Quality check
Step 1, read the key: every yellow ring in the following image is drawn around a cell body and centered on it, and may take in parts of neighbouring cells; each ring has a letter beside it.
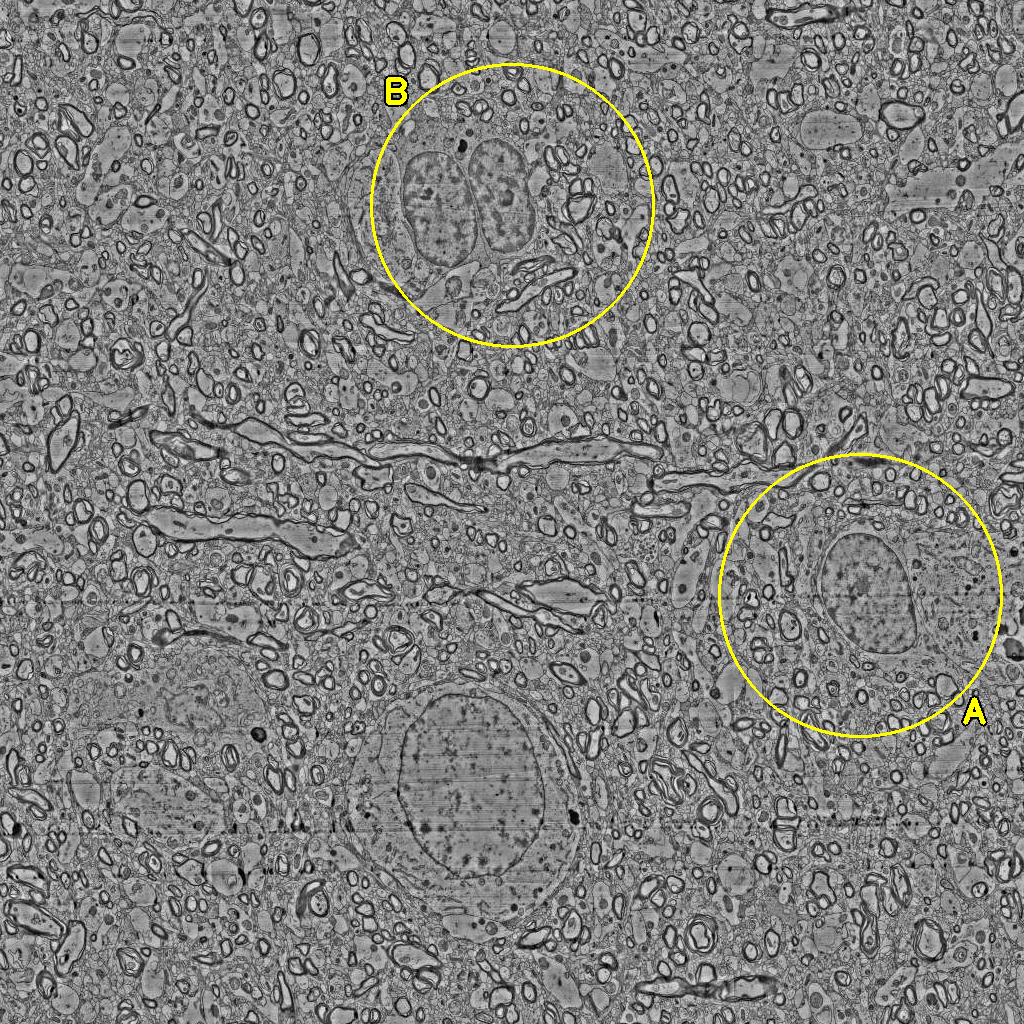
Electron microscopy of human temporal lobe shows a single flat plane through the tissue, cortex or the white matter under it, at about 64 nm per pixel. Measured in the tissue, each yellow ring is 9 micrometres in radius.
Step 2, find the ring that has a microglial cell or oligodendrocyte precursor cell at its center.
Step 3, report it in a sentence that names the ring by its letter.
Ring A is centered on that cell.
